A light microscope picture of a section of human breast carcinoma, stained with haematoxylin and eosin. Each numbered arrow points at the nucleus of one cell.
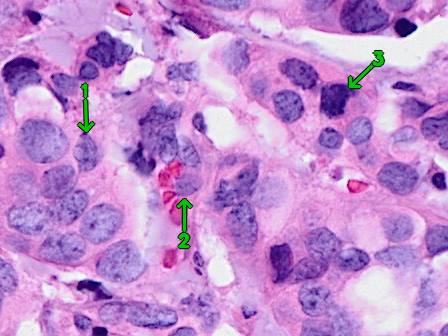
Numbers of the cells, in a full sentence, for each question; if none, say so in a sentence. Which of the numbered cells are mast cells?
No representatives of mast cells are found among the numbered cells.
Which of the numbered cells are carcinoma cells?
Cells that were given the numbers 1 and 3 are carcinoma cells.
